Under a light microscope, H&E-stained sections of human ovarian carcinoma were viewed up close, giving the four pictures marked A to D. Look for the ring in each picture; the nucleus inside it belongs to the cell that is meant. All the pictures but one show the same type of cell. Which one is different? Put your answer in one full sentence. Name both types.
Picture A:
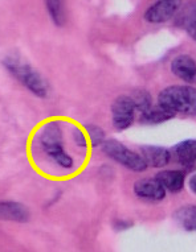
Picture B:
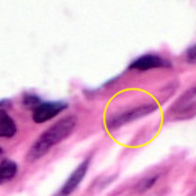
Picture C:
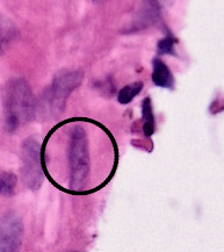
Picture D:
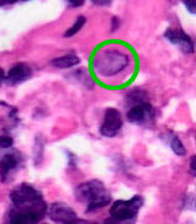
Unlike the rest, which show fibroblasts, picture D shows an endothelial cell.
